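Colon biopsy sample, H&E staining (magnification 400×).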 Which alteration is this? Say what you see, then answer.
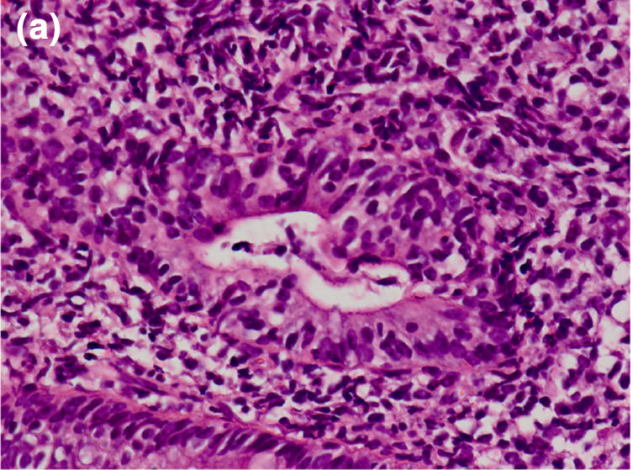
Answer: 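Lymphoepithelial lesion. A crypt with a central lumen is surrounded by densely packed lymphoid cells. Small dark lymphoid nuclei lie within and disrupt the columnar epithelial lining of the crypt.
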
